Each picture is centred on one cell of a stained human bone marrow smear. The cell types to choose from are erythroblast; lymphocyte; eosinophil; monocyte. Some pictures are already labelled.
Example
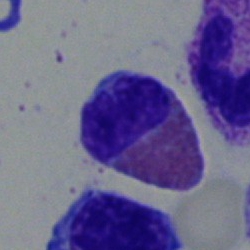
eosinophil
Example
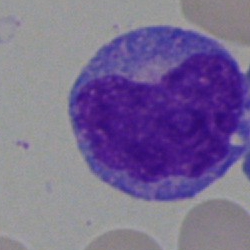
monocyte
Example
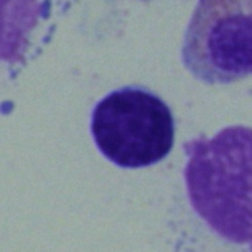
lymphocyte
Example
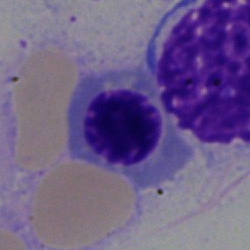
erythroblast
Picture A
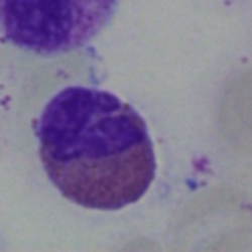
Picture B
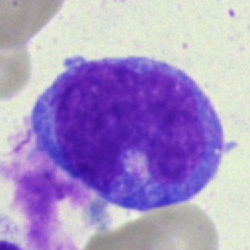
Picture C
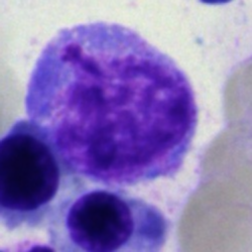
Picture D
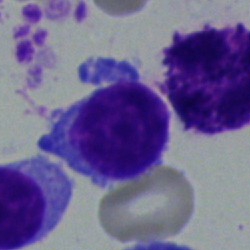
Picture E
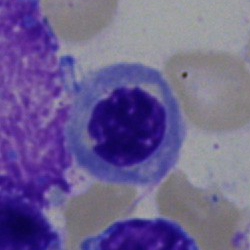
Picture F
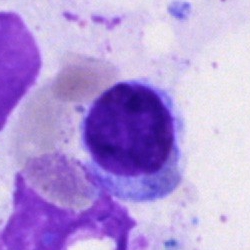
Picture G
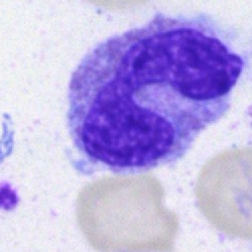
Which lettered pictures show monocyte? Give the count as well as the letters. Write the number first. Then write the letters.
Count: 3 (B, C, G)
